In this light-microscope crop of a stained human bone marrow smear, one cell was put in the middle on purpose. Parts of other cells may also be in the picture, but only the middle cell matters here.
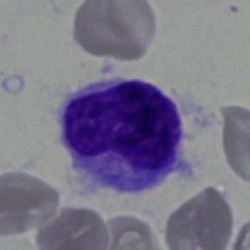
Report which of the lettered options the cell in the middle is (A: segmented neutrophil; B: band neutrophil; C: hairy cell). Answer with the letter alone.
C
